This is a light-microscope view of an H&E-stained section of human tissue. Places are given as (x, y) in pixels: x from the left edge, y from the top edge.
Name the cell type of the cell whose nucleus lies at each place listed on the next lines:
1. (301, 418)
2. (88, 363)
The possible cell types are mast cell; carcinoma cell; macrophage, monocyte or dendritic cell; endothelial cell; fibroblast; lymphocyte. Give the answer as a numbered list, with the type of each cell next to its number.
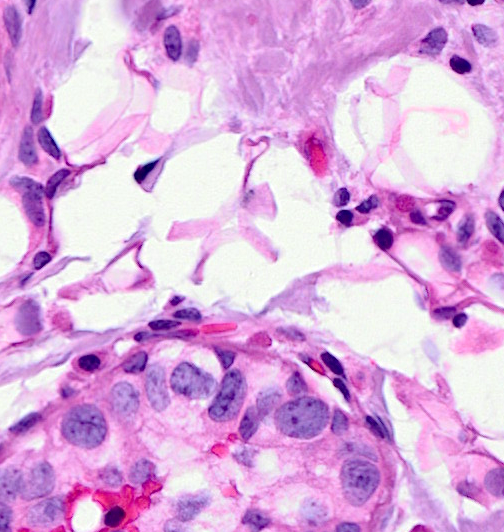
1. carcinoma cell
2. mast cell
